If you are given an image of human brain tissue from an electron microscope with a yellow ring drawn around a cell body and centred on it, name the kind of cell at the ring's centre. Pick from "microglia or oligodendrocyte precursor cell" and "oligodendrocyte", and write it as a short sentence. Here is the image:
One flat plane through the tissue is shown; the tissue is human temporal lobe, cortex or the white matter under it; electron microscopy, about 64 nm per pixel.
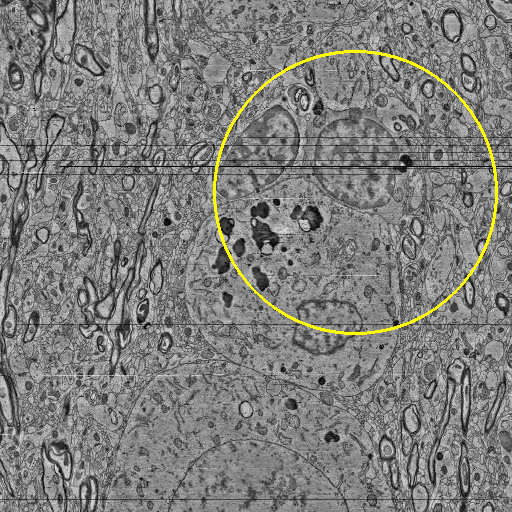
The cell at the ring's centre is an oligodendrocyte.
